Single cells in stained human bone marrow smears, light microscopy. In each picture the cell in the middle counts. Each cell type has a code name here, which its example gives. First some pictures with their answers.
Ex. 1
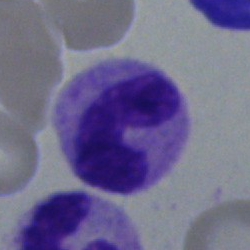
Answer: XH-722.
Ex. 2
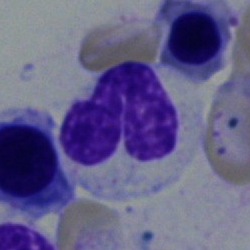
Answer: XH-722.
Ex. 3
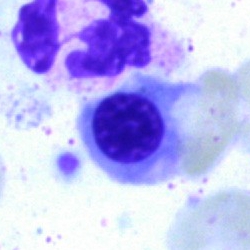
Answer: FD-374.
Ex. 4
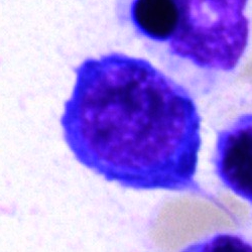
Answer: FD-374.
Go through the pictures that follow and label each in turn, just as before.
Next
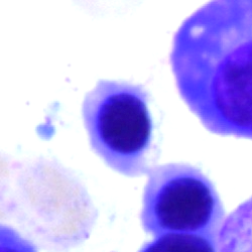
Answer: FD-374.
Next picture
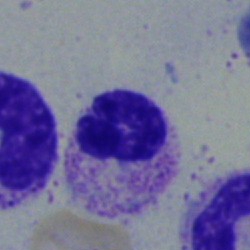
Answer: XH-722.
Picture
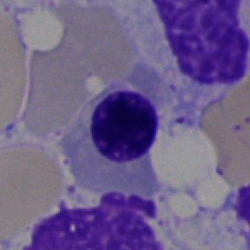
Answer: FD-374.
